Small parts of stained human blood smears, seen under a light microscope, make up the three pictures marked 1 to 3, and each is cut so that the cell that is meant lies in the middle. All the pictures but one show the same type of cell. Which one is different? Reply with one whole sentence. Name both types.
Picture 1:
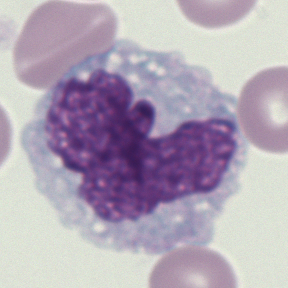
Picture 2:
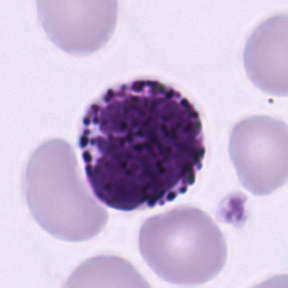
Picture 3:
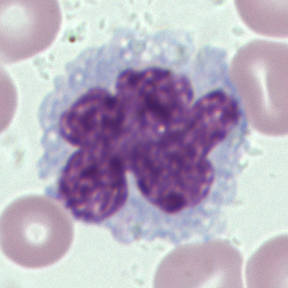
Picture 2 differs, because its cell is a basophil and the rest are monocytes.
